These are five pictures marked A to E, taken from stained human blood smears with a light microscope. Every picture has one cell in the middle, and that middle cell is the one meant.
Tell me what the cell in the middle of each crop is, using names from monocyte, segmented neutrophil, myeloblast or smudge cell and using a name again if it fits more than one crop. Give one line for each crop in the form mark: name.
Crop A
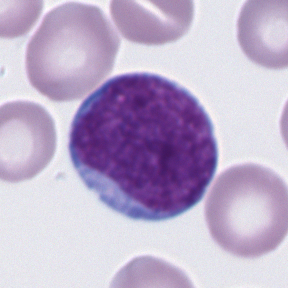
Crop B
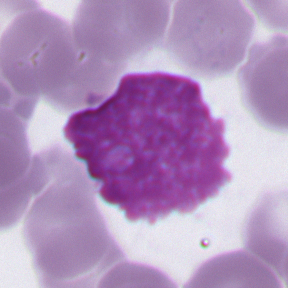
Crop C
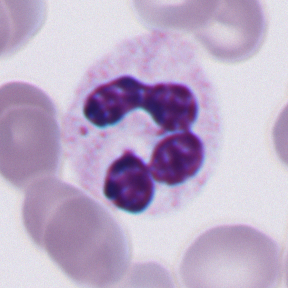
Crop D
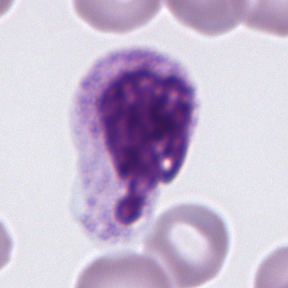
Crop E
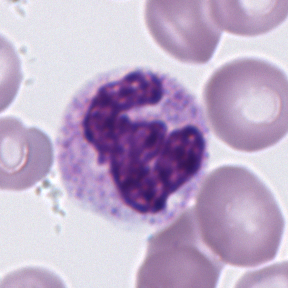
A: myeloblast
B: smudge cell
C: segmented neutrophil
D: segmented neutrophil
E: segmented neutrophil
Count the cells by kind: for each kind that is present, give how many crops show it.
segmented neutrophil: 3
myeloblast: 1
smudge cell: 1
